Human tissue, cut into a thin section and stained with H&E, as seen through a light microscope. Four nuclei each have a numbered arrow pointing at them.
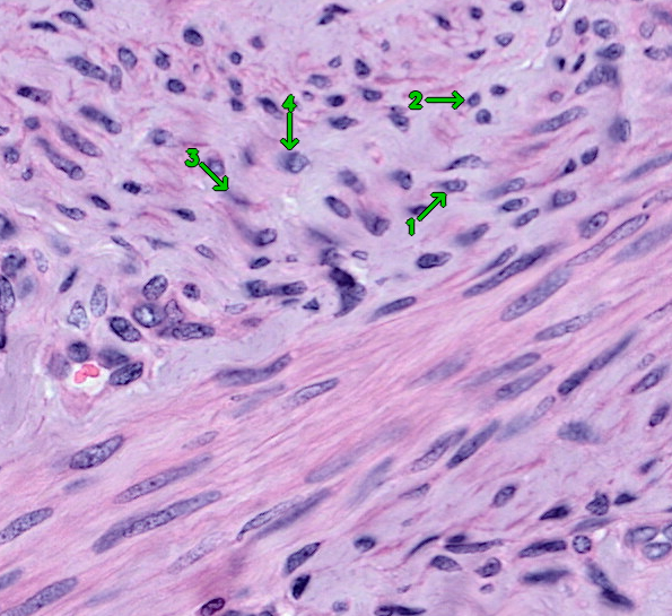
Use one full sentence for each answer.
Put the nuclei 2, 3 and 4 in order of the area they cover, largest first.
The nuclei rank 4, 3, 2, from largest to smallest.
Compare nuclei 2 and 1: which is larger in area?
Nucleus 1 covers more area, about 2 times as much as nucleus 2.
